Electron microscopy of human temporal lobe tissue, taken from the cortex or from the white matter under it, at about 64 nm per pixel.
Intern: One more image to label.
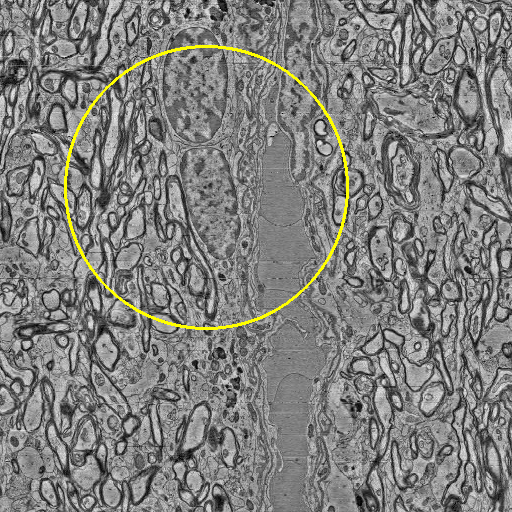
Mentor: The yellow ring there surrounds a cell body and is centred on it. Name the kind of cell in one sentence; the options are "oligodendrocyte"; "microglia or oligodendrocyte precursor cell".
The ring marks the cell body of a microglial cell or oligodendrocyte precursor cell.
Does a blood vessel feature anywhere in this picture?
Yes, a blood vessel can be seen.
